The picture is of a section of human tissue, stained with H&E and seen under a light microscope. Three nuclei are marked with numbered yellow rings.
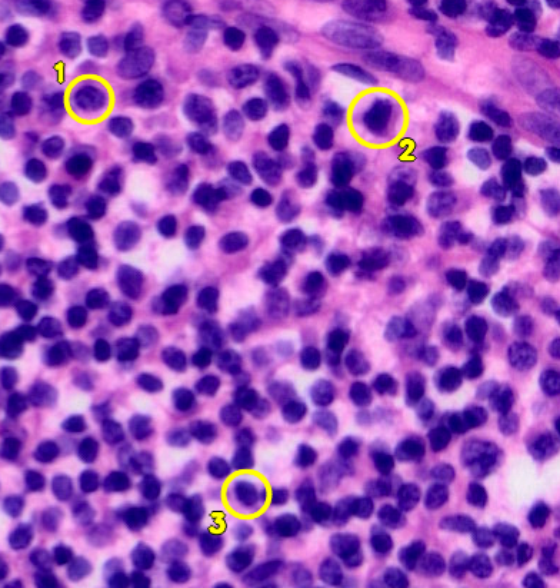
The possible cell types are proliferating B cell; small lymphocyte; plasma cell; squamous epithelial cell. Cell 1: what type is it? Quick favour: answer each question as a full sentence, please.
The marked cell bearing number 1 is a plasma cell.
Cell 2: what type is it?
What the number 2 marks in this field is a proliferating B cell.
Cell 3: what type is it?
The cell whose nucleus carries the number 3 is a small lymphocyte.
